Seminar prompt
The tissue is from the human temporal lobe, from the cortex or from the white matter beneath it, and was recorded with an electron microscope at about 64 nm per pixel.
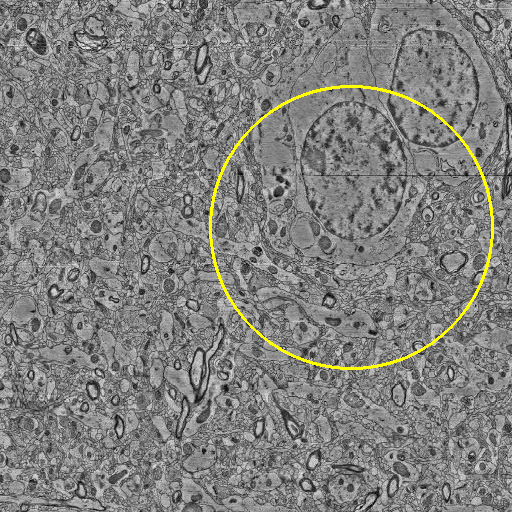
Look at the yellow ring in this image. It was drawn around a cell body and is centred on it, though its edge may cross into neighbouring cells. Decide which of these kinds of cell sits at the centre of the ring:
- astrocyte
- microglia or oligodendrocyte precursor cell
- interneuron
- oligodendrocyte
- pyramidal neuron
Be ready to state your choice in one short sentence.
The kind of cell at the ring's centre is an astrocyte.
